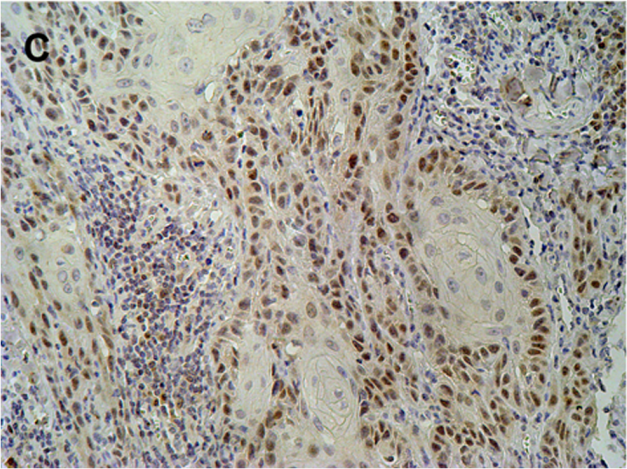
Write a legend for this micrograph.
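Elongated nests and cords of squamous tumour cells run diagonally through the field, separated by bands of stroma. Some nest centres form small whorls of keratinising cells. At the left, a dense cluster of small round blue nuclei marks an inflammatory infiltrate in the stroma.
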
